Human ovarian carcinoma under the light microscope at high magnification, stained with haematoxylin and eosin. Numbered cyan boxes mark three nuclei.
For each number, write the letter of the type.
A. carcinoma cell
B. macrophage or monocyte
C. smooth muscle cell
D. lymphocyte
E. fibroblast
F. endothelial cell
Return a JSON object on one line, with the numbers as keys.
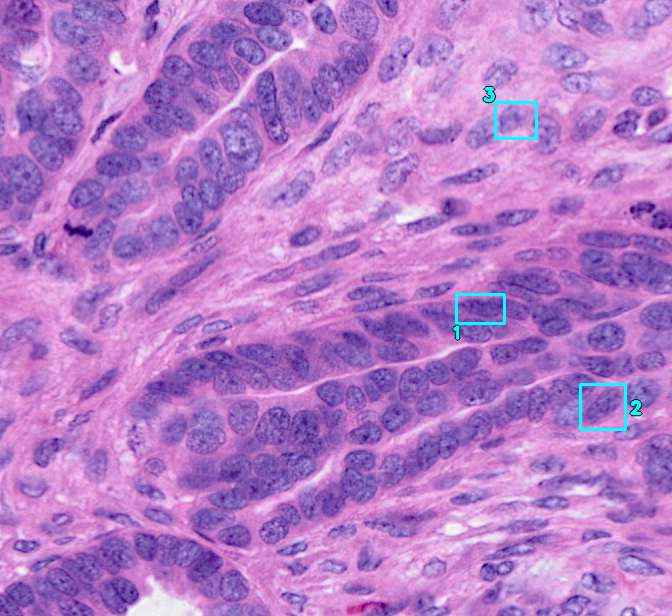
{"1": "A", "2": "A", "3": "E"}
